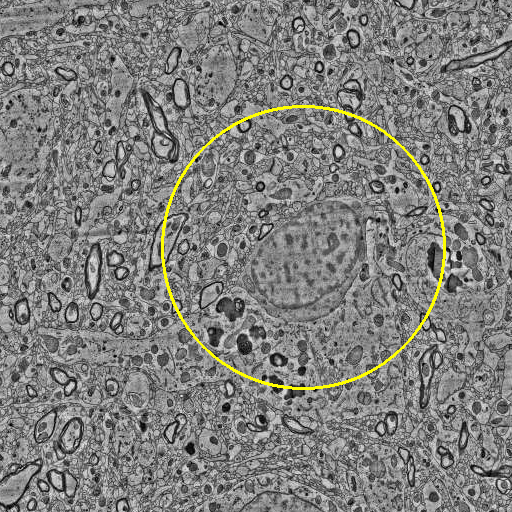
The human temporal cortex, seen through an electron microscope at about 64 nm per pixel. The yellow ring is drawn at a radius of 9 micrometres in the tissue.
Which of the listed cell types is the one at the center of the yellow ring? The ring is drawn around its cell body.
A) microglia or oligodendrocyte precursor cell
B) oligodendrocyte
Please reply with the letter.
B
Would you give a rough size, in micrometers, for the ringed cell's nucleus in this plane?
The ringed cell's nucleus measures approximately 8 by 6 micrometres in this plane.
